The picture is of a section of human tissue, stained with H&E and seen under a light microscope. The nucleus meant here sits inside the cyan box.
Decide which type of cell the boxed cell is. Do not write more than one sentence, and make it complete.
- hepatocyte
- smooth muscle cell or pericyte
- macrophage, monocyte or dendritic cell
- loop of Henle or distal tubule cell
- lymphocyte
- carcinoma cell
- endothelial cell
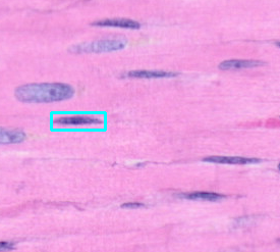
So far as cell type goes, the boxed cell is an endothelial cell.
